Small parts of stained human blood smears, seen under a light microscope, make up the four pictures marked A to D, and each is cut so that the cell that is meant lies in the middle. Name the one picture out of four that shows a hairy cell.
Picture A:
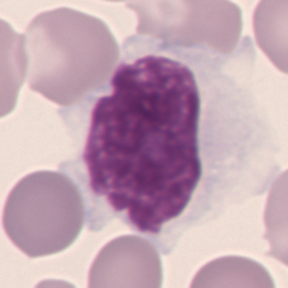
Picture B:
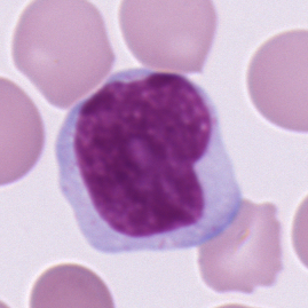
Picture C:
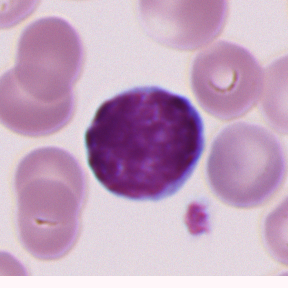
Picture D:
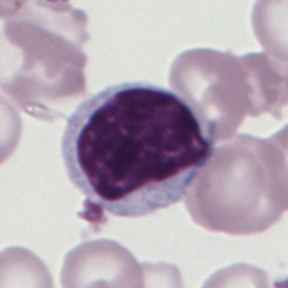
A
